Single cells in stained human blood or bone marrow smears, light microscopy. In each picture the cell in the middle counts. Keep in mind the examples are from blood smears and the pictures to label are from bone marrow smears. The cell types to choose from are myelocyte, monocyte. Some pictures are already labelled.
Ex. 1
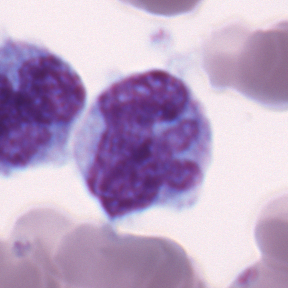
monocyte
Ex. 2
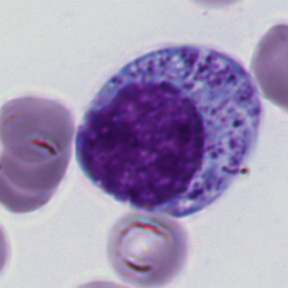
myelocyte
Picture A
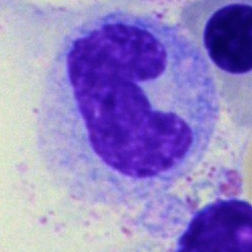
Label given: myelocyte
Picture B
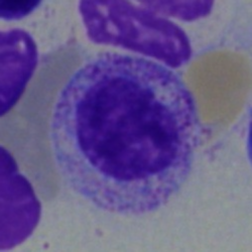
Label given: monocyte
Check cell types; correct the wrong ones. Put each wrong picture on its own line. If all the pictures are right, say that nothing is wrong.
A: not myelocyte but monocyte
B: not monocyte but myelocyte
